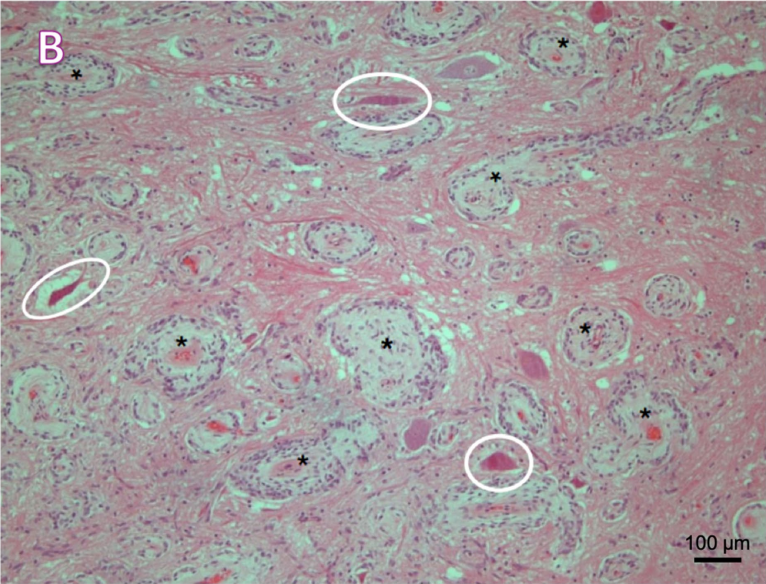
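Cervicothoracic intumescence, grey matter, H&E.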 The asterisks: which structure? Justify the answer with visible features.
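Elongated cells with purple nuclei are wrapped concentrically around each lumen. That points to this answer: small to medium caliber vessels.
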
